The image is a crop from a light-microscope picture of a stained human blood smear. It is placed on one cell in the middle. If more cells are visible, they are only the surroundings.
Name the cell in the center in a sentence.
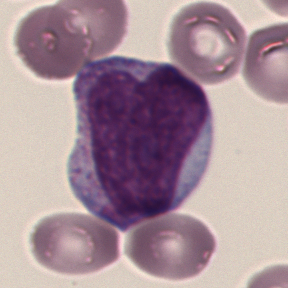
In the middle of this smear crop is an atypical promyelocyte.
